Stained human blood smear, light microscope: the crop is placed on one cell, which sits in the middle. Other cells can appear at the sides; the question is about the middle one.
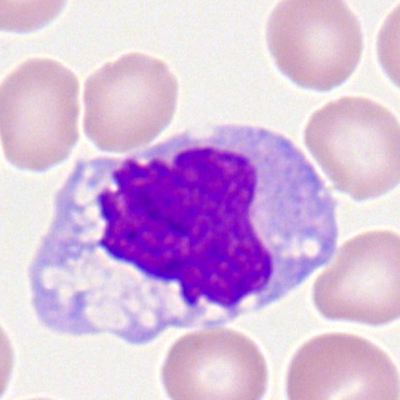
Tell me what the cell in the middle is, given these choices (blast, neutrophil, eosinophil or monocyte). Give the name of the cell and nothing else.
monocyte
